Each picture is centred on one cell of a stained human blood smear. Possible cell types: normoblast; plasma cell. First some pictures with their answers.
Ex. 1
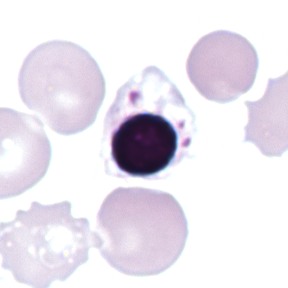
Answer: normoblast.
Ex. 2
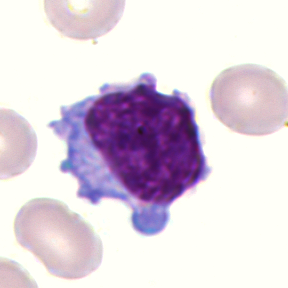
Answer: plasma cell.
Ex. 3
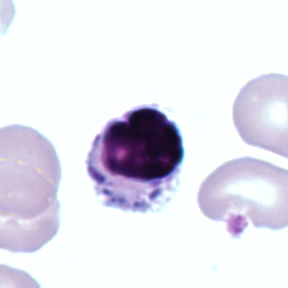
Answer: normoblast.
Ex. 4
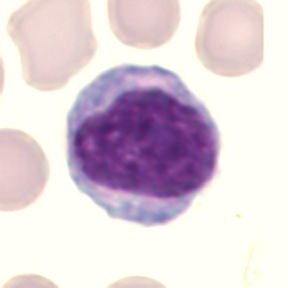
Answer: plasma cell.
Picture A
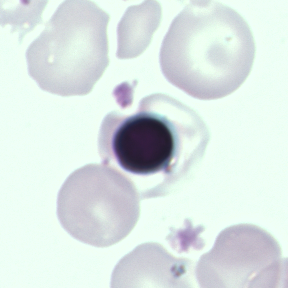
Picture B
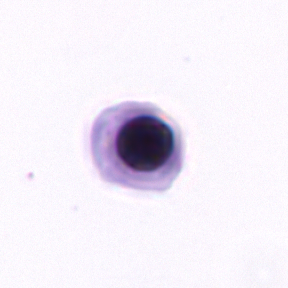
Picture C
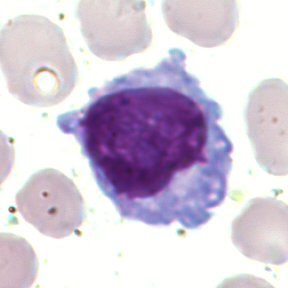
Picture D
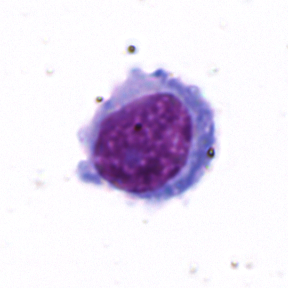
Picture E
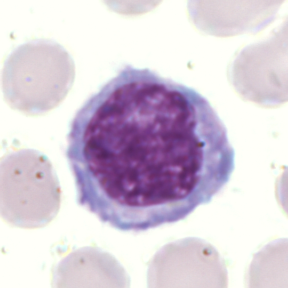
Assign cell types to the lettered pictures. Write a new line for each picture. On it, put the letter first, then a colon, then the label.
A: normoblast.
B: normoblast.
C: plasma cell.
D: plasma cell.
E: plasma cell.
